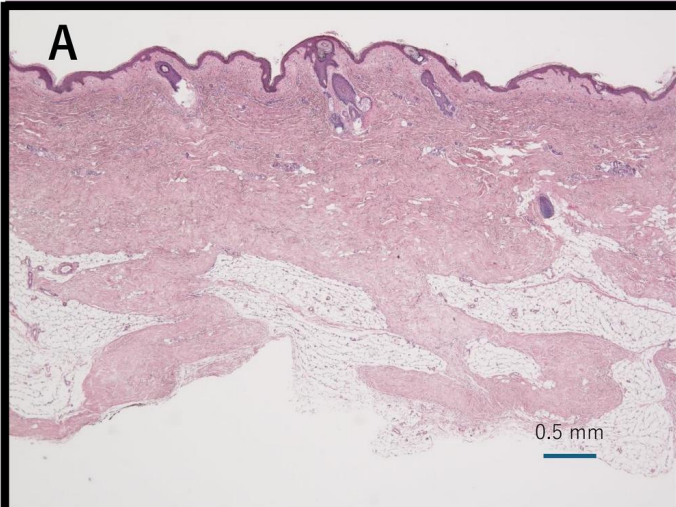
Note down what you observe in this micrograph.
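This section shows skin cut in full thickness. A thin, darker purple epidermis runs along the wavy top surface. Beneath it, the dermis is a broad layer of dense pink collagen. It contains a few hair follicles and glandular structures with purple nuclei, plus scattered small vessels. Deeper down, the dermis gives way to subcutaneous fat. The fat appears as pale, empty-looking adipocyte spaces with thin membranes. Bands of pink fibrous septa cross the fat and separate it into lobules. No dense clusters of inflammatory cells stand out.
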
